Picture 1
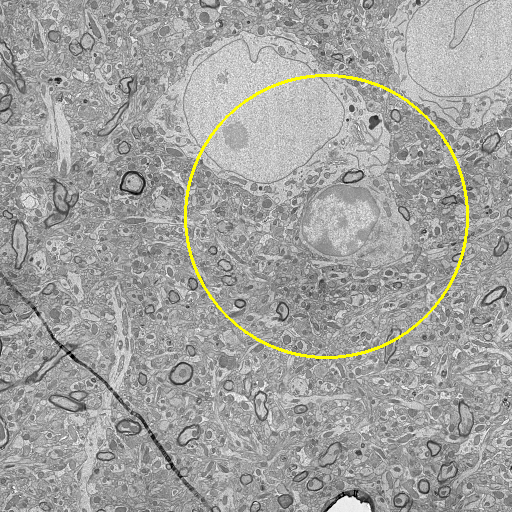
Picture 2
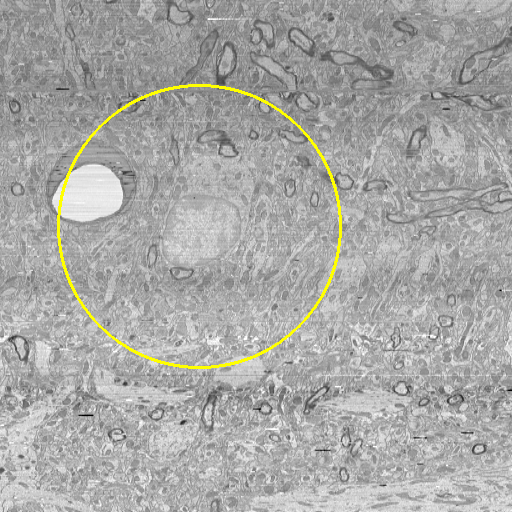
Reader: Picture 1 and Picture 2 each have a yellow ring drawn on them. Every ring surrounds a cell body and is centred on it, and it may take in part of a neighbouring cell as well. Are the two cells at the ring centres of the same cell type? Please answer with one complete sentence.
Yes, both cells are of the same cell type.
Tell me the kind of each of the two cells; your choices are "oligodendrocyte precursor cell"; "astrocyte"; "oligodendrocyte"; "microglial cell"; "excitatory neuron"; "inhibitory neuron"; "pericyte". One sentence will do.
The ring centre holds an oligodendrocyte in each of the two pictures.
